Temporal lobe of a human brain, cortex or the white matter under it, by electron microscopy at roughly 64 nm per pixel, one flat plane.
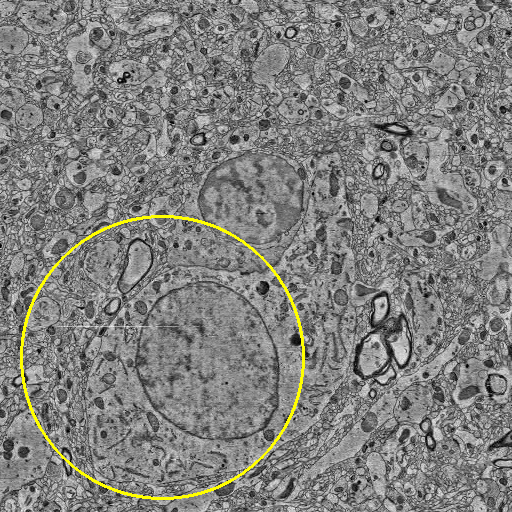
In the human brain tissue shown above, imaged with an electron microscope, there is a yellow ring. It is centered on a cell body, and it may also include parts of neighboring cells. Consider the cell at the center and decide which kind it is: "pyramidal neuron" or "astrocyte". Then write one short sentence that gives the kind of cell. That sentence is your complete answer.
This centered cell body is that of a pyramidal neuron.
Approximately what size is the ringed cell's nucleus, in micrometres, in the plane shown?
Roughly 11 by 9 micrometres is the size of the nucleus in this plane.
